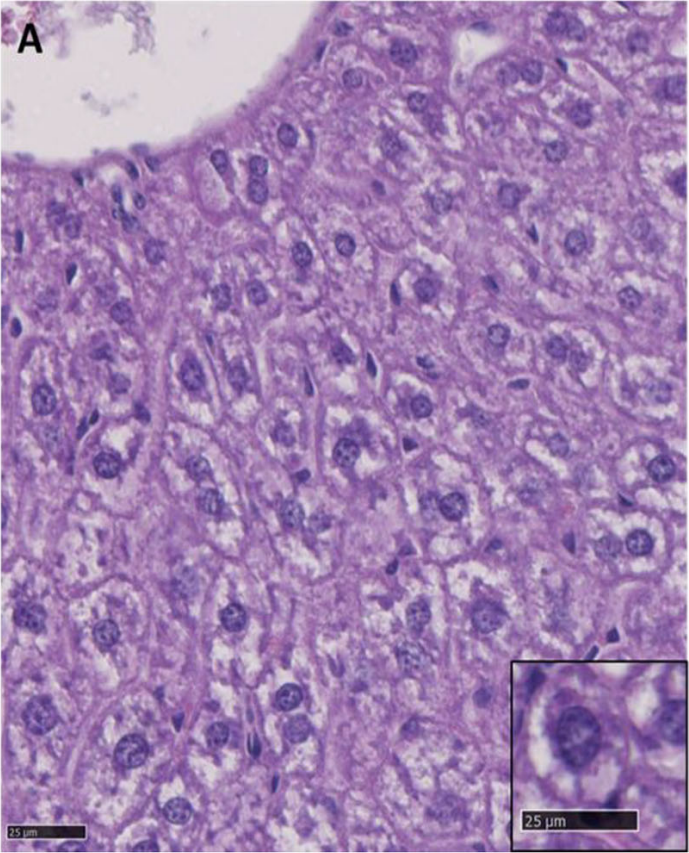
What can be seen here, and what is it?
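This is liver parenchyma seen at high power, with hepatocytes arranged in cords radiating away from a large vascular lumen at the upper left. The hepatocytes are large polygonal cells with sharp borders. The cytoplasm is strikingly pale and cleared, with fine pink wisps, the look of glycogen-rich cytoplasm. Thin sinusoids with small flattened lining nuclei run between the cords. The inset enlarges one hepatocyte showing the central round nucleus surrounded by the pale cytoplasm.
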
